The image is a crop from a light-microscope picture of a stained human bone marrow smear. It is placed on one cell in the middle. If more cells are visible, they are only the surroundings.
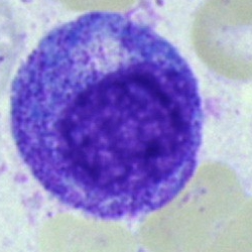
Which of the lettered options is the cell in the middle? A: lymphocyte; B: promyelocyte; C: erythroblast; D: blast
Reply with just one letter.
B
